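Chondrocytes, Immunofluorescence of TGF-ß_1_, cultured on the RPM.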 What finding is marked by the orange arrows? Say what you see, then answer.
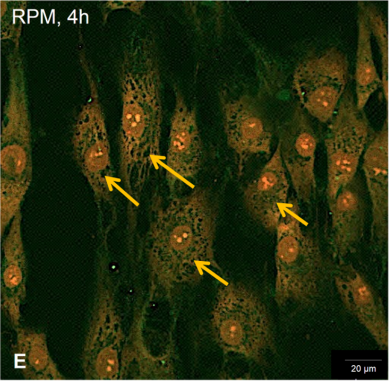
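Holes. The arrows point into the cytoplasm of flattened cells. The cytoplasm there is pierced by many small, round, dark gaps. The gaps give the cytoplasm a sieve-like, lacy look.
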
